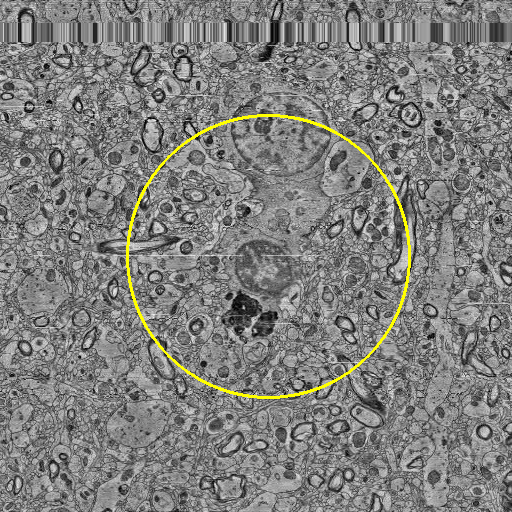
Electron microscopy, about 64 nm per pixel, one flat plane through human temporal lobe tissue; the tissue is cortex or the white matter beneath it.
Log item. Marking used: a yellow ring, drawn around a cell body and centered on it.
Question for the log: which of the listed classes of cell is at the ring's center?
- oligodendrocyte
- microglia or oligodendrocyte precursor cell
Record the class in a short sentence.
At the center of the ring lies an oligodendrocyte.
